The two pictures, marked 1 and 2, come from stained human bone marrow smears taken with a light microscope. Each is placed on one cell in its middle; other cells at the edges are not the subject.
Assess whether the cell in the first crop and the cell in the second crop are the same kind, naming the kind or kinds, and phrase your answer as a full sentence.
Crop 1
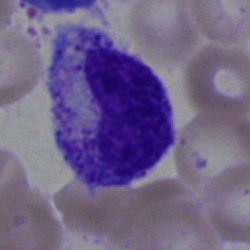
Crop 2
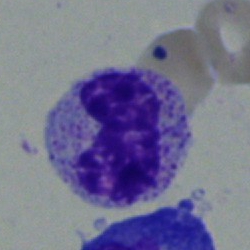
Yes, at the centre of both crops are metamyelocytes.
